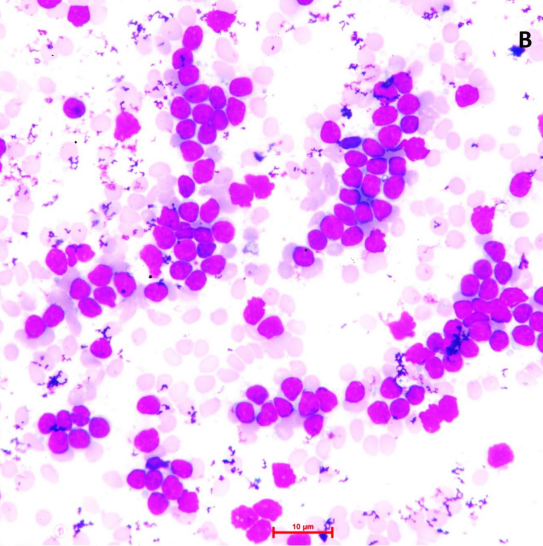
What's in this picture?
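This smear shows a monomorphic population of atypical lymphoid cells lying singly and in loose groups among pale red blood cells. The cells are round and of similar size, with round purple nuclei. A thin rim of pale blue cytoplasm surrounds some nuclei. Small purple granular specks are scattered through the background.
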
